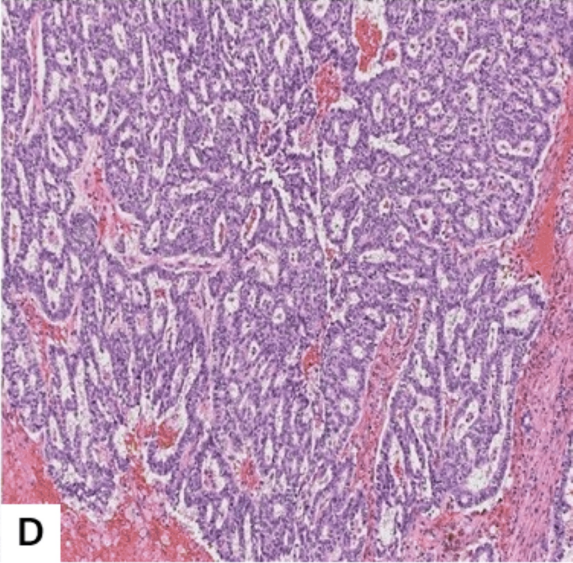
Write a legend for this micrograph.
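A crowded epithelial proliferation fills most of the field. Densely packed cells with small, dark purple oval nuclei and scant pale cytoplasm form sheets. These sheets are perforated by many small round, oval and slit-like clear spaces, which give the tissue a sieve-like, punched-out look. In places, thin strands and little tufts of cells bridge or jut into these spaces. Slender pink fibrovascular septa carrying red blood cells divide the sheets into lobules. Pink stroma runs along the right edge, and pooled red blood cells lie at the lower left. These are micropapillary and cribriform epithelial structures of a neoplasm.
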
